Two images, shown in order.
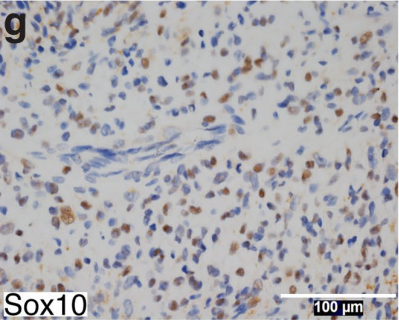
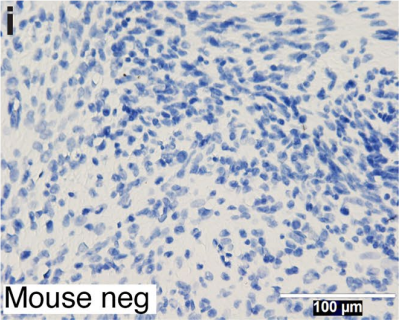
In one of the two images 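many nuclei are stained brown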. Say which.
The first image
